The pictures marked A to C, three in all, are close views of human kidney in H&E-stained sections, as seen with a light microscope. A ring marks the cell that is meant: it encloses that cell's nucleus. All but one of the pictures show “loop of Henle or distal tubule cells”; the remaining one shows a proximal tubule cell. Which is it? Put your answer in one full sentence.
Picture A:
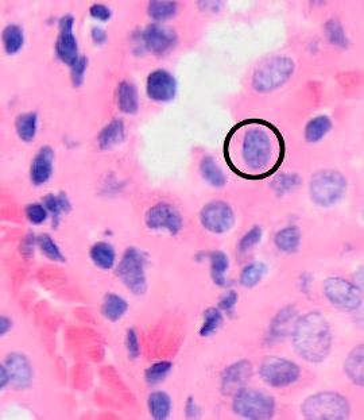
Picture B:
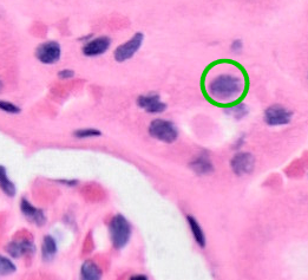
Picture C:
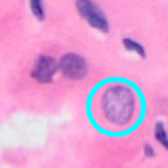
Picture C shows the proximal tubule cell.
